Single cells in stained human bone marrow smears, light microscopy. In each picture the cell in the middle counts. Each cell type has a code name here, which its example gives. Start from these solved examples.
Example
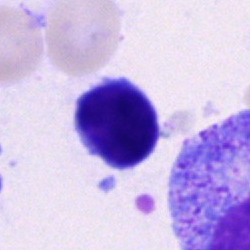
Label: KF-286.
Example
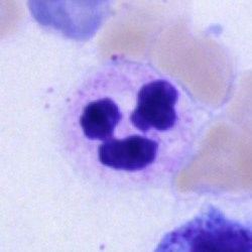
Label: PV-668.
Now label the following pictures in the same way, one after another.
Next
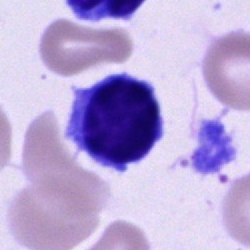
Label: KF-286.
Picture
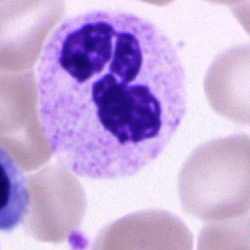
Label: PV-668.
